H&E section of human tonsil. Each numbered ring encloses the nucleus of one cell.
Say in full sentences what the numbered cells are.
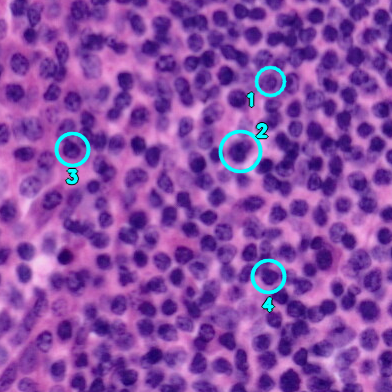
Cells 1 and 4 are small lymphocytes. Cell 2 is a proliferating B cell. Cell 3 is a plasma cell.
